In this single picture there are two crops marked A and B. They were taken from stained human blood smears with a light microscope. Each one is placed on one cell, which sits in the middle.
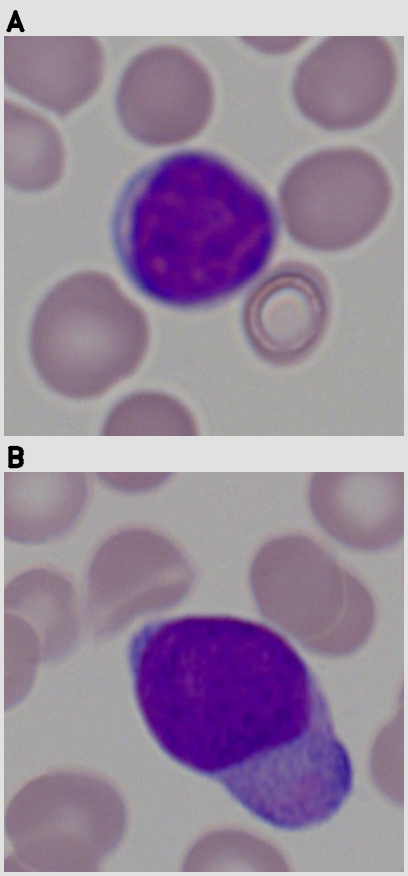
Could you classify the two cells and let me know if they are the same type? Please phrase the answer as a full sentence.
No, crop A shows a lymphocyte, whereas in crop B the cell is a blast.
